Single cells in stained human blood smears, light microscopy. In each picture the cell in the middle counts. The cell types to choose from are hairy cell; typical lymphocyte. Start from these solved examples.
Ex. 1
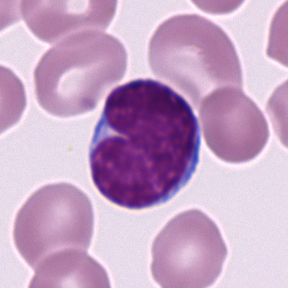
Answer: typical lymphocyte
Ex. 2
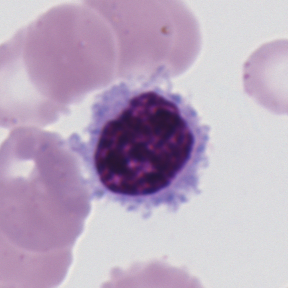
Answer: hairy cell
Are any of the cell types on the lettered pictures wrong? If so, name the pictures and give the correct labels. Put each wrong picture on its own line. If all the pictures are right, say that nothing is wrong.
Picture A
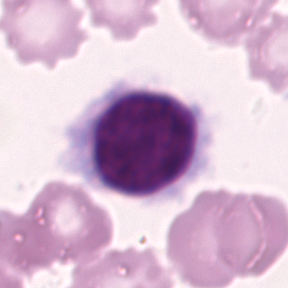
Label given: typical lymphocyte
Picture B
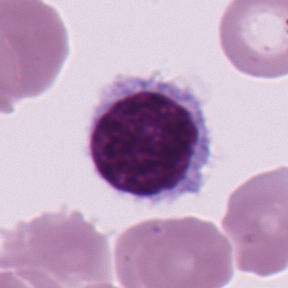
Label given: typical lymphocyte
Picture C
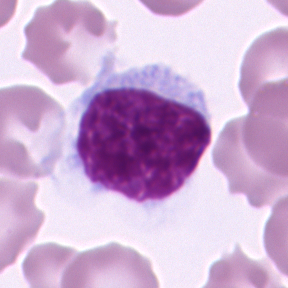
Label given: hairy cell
A: not typical lymphocyte but hairy cell
B: not typical lymphocyte but hairy cell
